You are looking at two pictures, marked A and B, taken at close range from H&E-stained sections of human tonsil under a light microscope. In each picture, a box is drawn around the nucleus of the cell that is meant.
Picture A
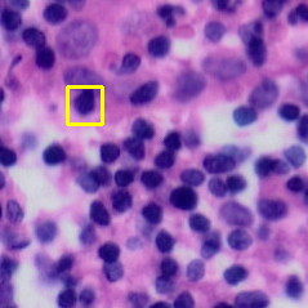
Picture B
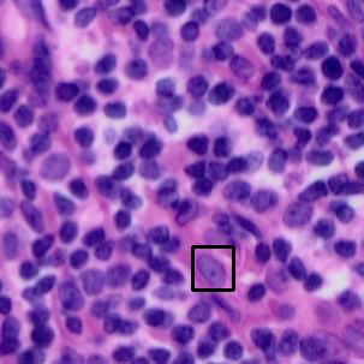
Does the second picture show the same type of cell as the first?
yes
